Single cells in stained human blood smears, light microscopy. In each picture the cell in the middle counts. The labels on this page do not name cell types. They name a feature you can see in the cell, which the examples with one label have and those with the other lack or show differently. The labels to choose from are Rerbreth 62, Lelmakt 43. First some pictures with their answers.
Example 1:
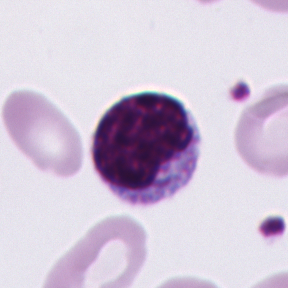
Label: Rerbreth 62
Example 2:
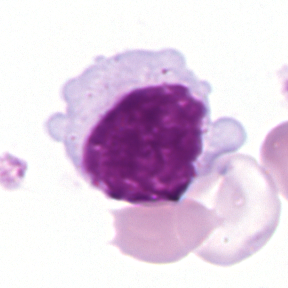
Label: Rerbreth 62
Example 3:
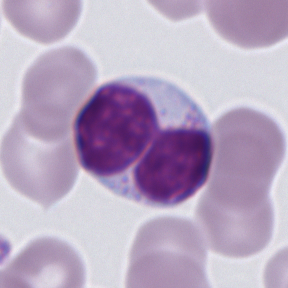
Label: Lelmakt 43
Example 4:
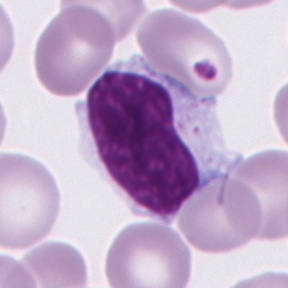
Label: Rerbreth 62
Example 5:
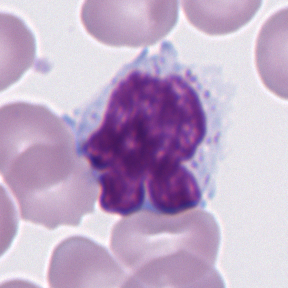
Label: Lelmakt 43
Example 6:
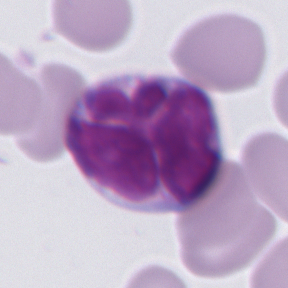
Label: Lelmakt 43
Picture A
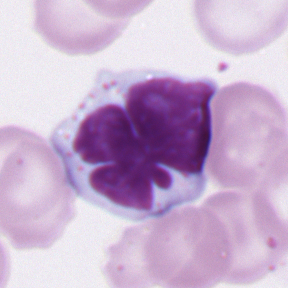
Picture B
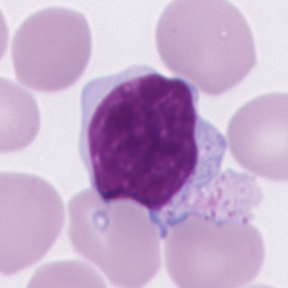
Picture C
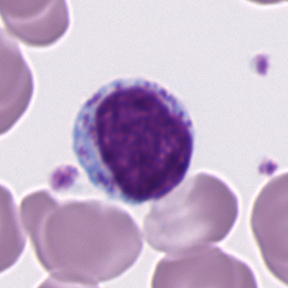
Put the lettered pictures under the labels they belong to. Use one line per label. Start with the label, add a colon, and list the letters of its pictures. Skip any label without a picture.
Rerbreth 62: B, C
Lelmakt 43: A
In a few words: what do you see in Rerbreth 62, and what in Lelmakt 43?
Rerbreth 62, single compact nucleus; Lelmakt 43, lobed nucleus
